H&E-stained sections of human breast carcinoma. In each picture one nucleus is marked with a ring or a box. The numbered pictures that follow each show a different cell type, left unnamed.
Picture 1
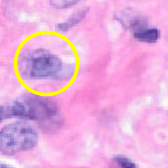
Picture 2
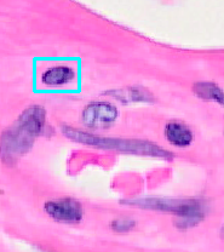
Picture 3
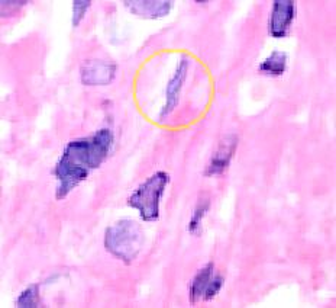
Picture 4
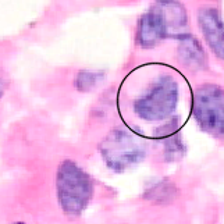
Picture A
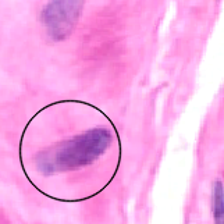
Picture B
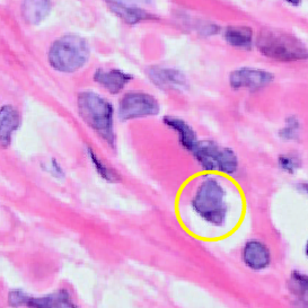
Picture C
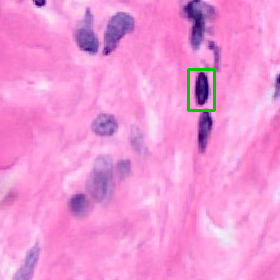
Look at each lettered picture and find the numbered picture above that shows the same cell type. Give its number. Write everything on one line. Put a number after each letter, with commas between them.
A 3, B 4, C 2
